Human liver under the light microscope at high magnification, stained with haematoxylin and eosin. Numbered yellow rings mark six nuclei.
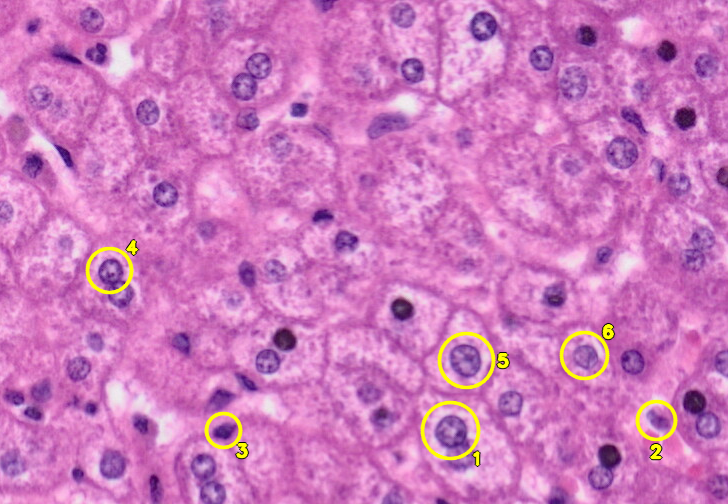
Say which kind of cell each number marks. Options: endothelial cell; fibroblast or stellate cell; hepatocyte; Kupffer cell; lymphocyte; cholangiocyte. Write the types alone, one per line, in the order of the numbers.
hepatocyte
endothelial cell
fibroblast or stellate cell
hepatocyte
hepatocyte
hepatocyte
